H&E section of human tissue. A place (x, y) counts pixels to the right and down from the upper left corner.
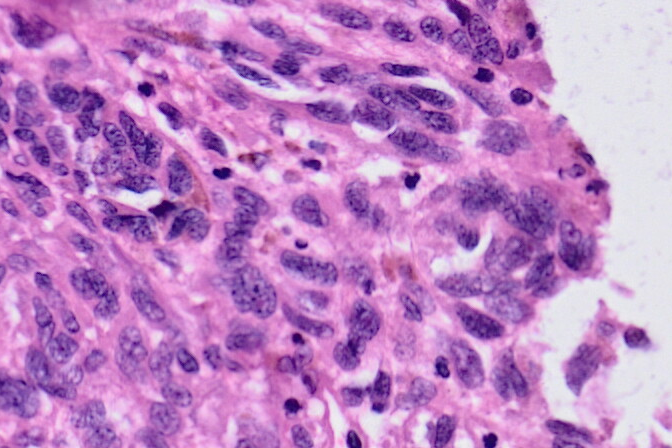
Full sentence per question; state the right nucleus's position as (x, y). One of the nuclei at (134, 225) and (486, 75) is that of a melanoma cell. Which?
Belonging to a melanoma cell is the nucleus at (134, 225).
